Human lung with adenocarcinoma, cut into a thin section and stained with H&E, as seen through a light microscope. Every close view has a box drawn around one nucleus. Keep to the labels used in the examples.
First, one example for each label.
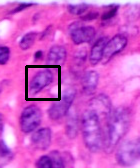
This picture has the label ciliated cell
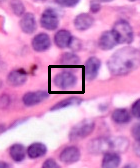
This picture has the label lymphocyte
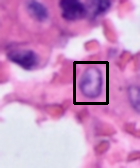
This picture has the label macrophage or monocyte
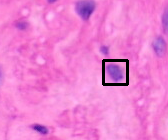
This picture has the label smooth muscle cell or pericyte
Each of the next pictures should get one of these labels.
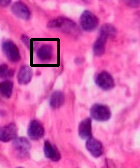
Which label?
lymphocyte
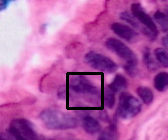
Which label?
ciliated cell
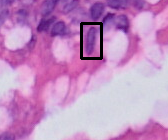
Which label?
ciliated cell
